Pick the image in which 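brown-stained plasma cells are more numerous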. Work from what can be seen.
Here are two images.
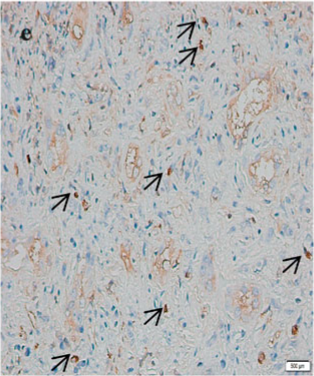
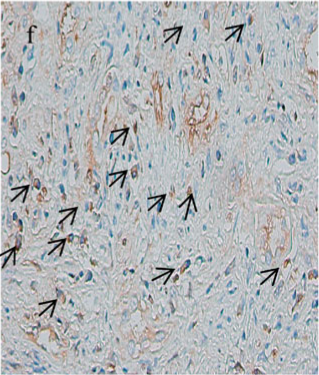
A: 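The second image. Second image: many arrows point to brown-stained cells scattered through the stroma. First image: fewer arrows point to sparse brown-stained cells.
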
